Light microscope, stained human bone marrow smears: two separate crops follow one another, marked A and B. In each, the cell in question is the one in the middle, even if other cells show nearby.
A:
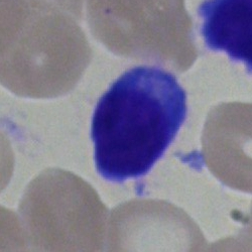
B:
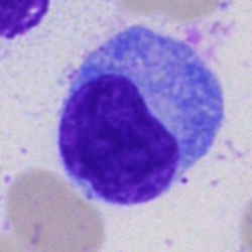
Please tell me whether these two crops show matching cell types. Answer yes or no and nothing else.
yes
